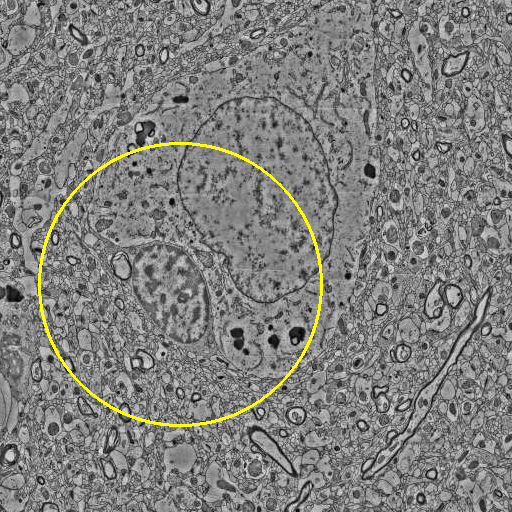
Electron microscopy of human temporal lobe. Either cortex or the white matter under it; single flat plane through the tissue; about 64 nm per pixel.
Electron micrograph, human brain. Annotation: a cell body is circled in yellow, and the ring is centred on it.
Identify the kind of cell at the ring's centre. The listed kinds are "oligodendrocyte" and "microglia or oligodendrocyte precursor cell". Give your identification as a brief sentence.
The circled cell body is that of an oligodendrocyte.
